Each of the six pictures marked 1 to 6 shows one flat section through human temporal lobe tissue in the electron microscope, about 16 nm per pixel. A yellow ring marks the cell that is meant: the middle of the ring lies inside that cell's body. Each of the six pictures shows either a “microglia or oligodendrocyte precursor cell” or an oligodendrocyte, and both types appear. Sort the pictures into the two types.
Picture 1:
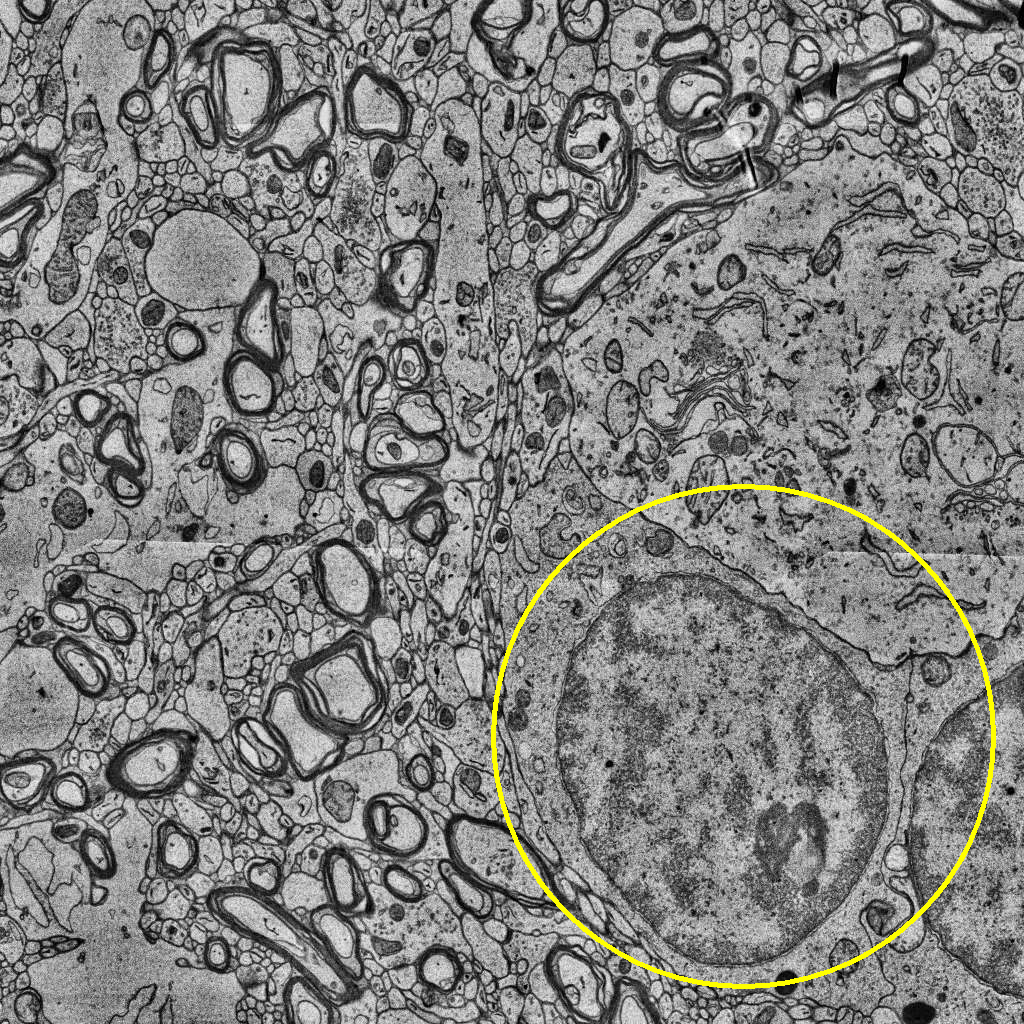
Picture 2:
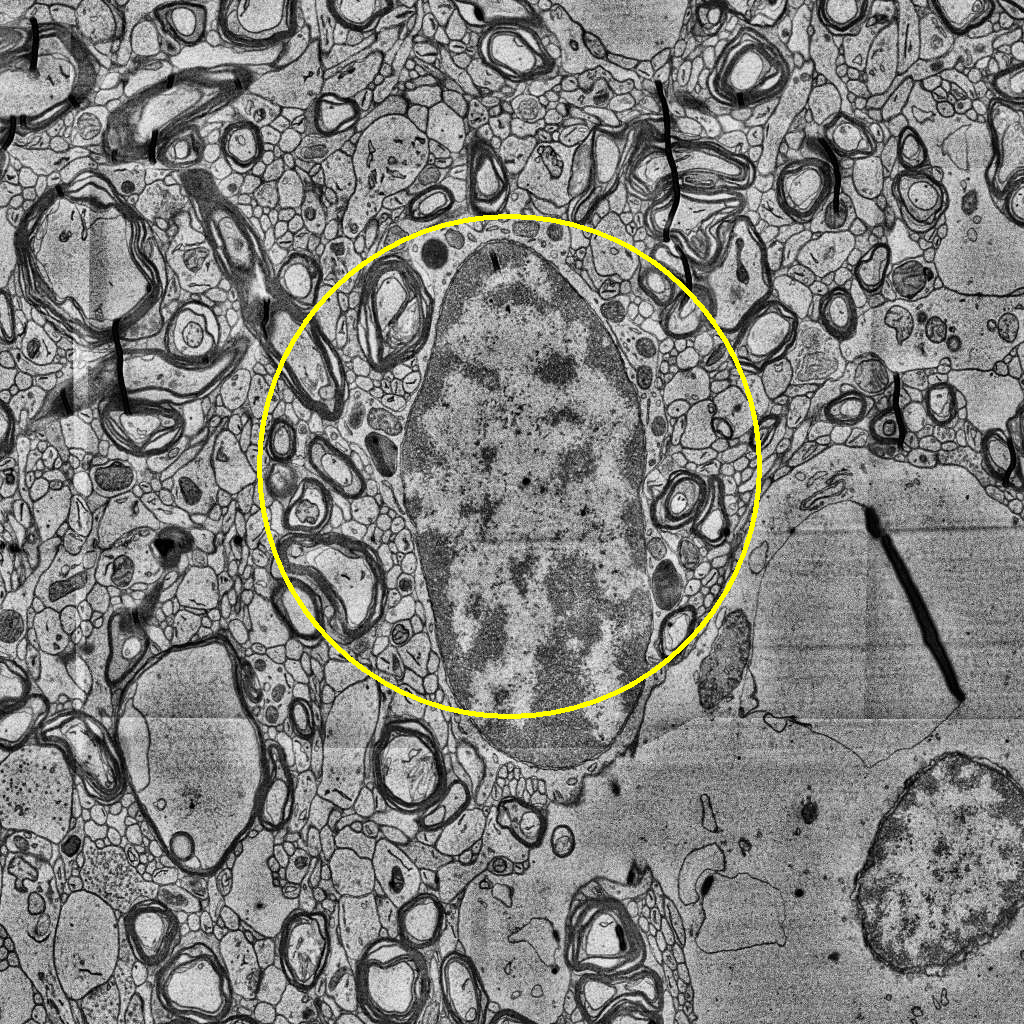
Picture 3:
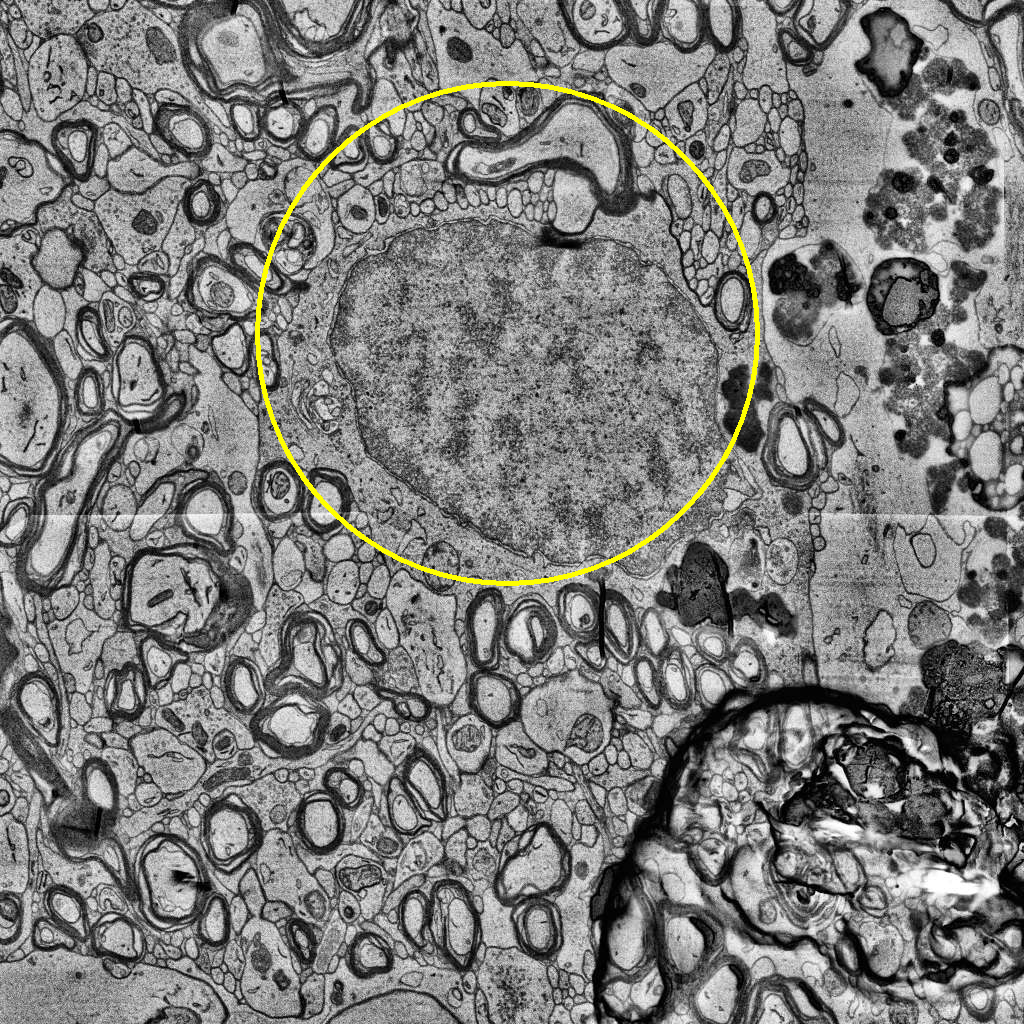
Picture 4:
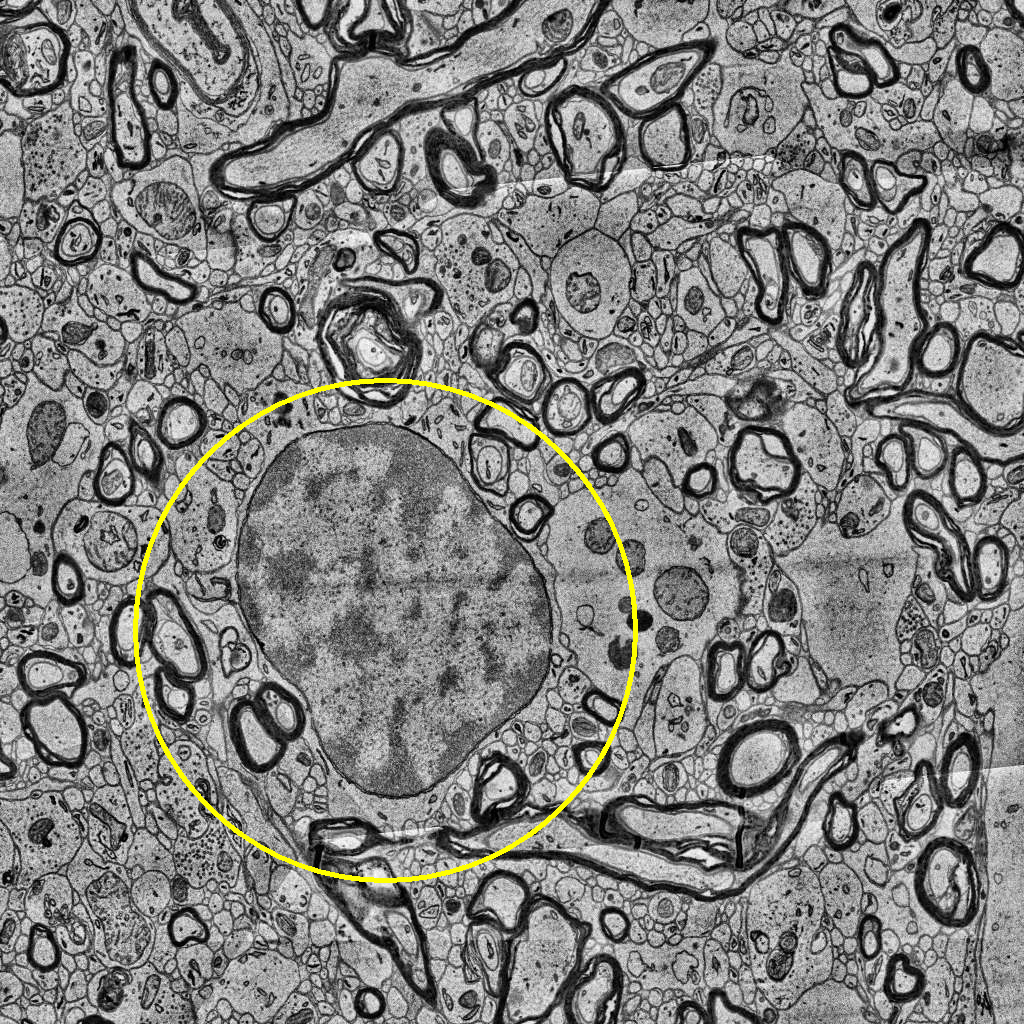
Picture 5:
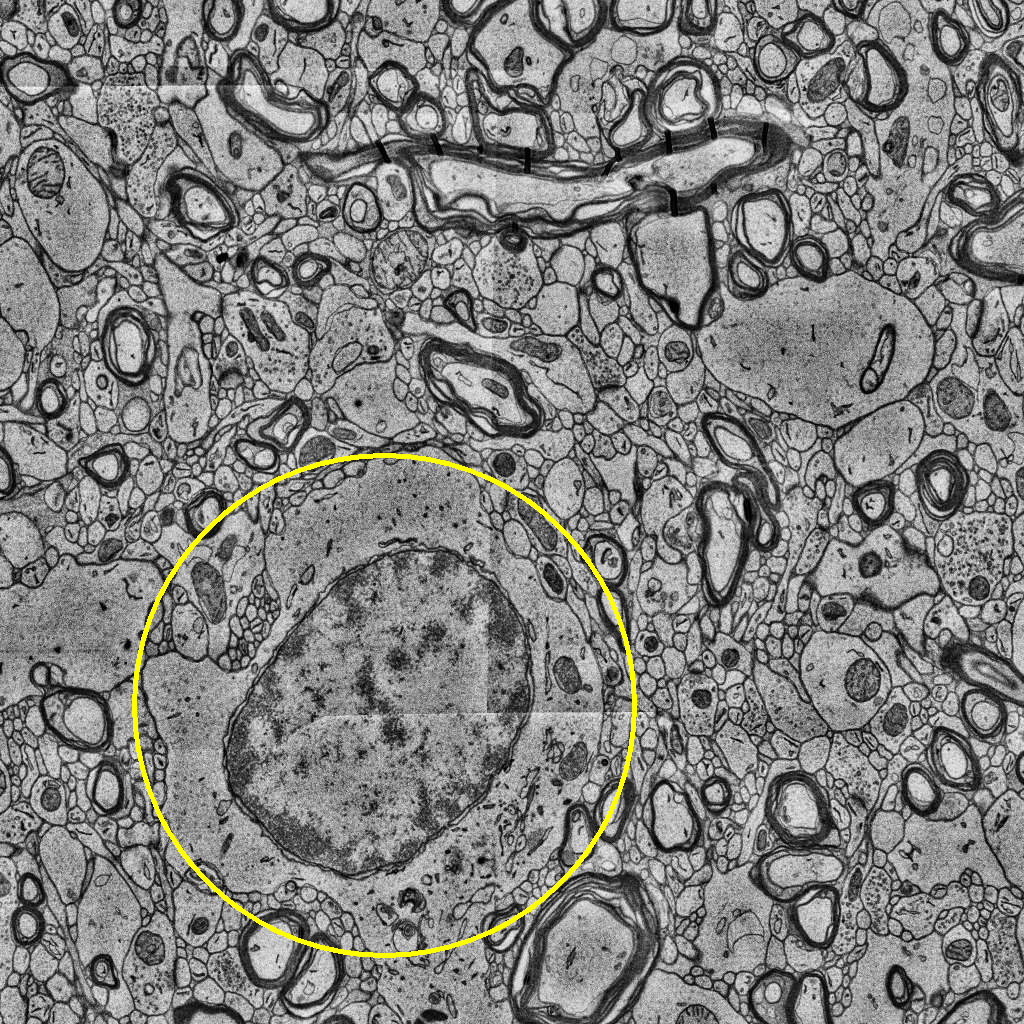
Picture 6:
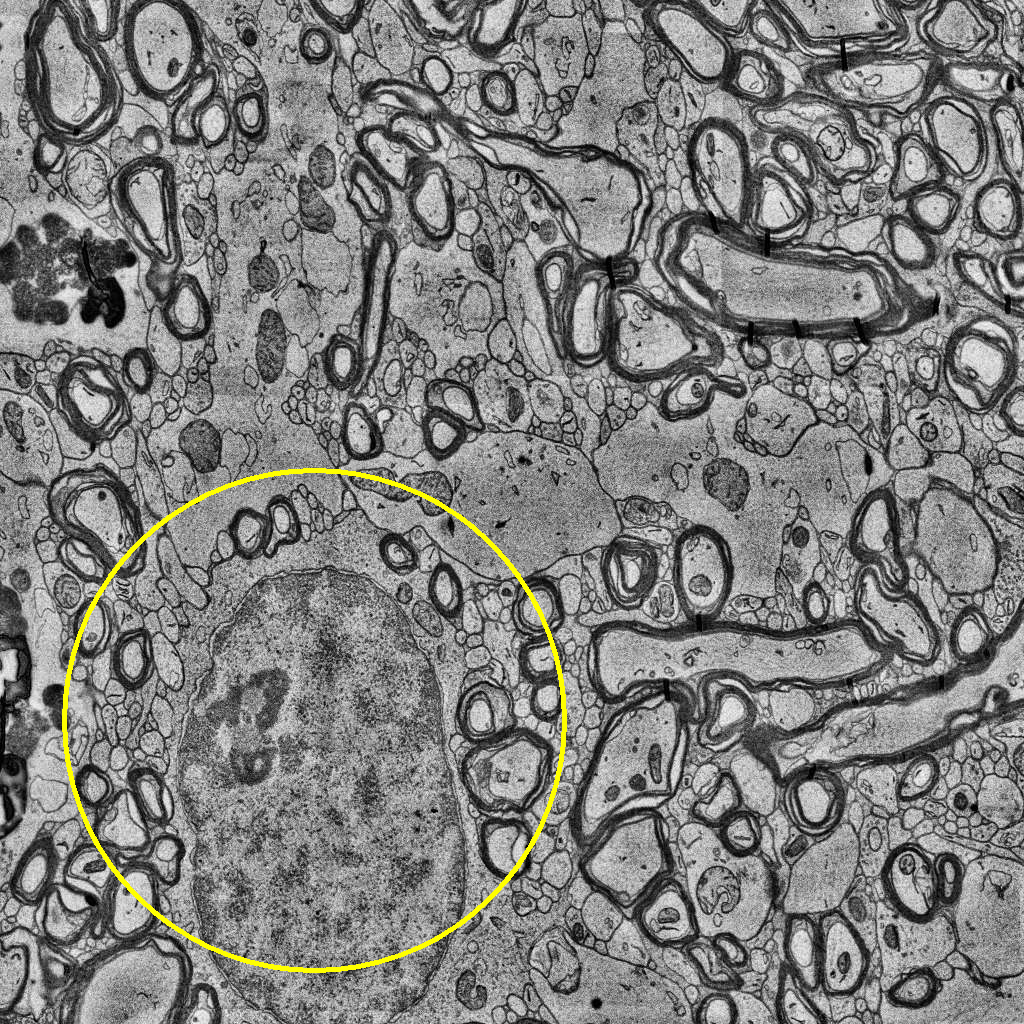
Pictures 2, 4 and 5 show “microglia or oligodendrocyte precursor cells”, and pictures 1, 3 and 6 show oligodendrocytes.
